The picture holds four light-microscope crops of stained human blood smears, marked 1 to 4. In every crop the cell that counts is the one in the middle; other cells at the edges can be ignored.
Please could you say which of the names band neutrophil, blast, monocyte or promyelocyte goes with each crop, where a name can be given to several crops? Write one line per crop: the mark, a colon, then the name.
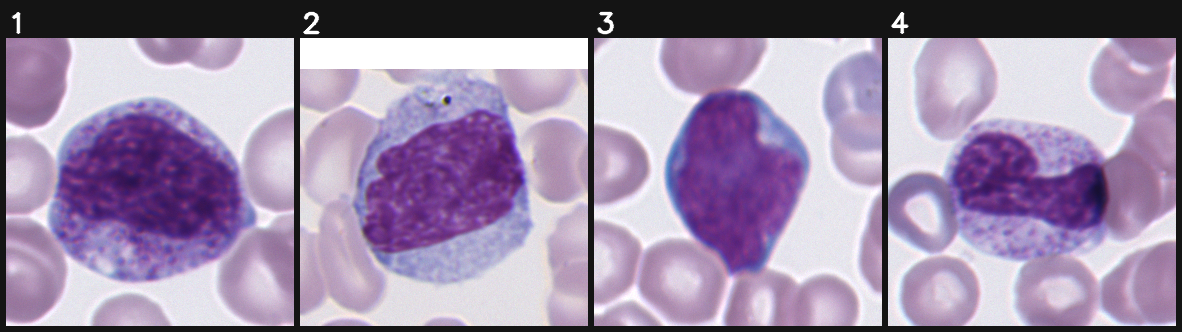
1: promyelocyte
2: monocyte
3: blast
4: band neutrophil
